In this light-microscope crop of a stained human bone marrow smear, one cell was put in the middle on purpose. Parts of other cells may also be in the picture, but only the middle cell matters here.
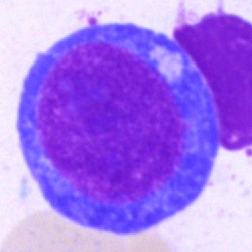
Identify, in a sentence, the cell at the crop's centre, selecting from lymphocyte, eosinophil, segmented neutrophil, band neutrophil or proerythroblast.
The crop's centre is taken up by a proerythroblast.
